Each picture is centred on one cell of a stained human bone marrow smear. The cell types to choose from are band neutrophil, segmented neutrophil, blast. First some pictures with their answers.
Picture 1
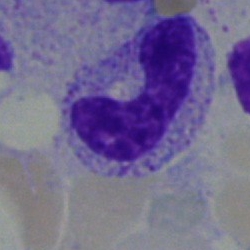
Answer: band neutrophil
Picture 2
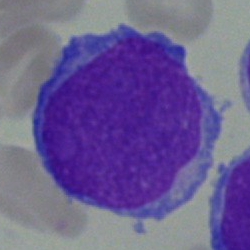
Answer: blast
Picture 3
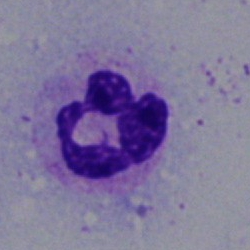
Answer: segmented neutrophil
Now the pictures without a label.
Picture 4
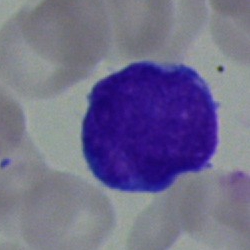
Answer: blast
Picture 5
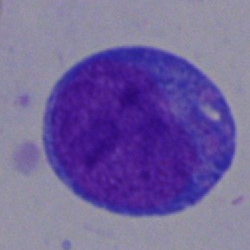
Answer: blast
